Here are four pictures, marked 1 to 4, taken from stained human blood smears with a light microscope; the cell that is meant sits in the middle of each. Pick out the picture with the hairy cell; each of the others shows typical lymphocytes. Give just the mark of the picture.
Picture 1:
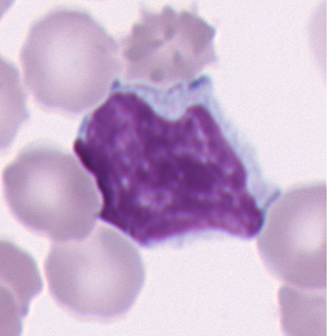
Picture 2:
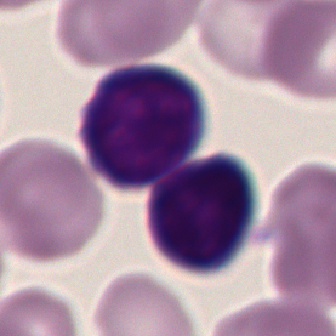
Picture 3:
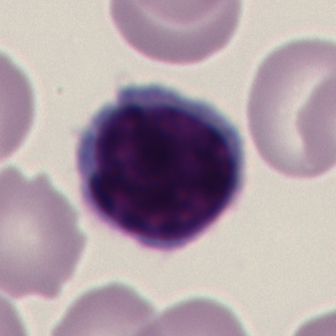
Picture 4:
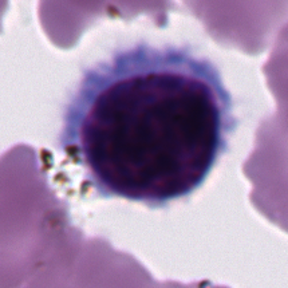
4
